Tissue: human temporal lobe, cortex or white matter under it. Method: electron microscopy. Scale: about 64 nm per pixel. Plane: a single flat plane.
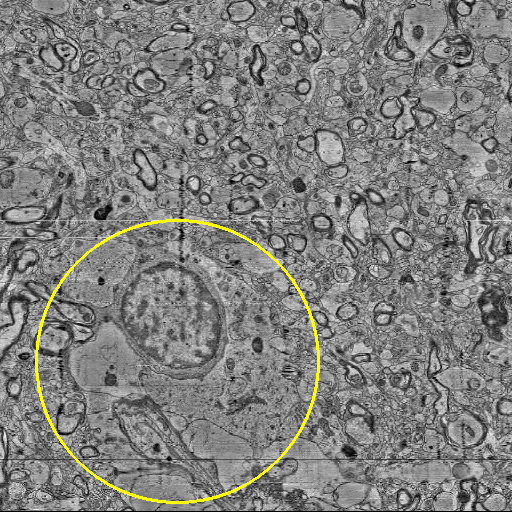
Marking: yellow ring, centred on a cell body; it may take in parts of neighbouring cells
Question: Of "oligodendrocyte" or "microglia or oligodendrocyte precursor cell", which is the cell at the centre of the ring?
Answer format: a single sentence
The ring surrounds the body of an oligodendrocyte.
